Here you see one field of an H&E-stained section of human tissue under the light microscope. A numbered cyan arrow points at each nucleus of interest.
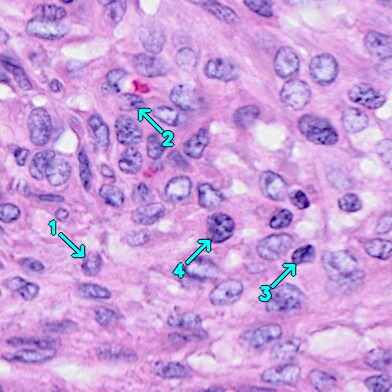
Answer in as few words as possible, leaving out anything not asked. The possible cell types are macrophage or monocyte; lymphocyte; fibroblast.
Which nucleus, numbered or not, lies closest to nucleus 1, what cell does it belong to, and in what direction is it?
a fibroblast; below nucleus 1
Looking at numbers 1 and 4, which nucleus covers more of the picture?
4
